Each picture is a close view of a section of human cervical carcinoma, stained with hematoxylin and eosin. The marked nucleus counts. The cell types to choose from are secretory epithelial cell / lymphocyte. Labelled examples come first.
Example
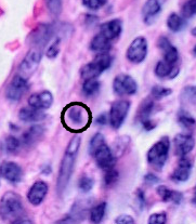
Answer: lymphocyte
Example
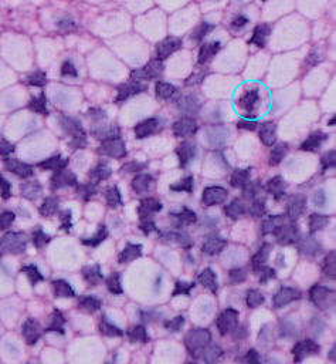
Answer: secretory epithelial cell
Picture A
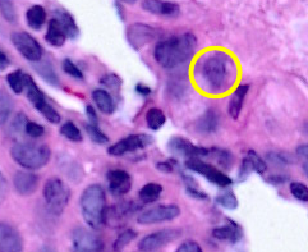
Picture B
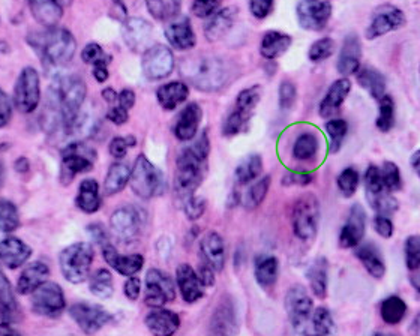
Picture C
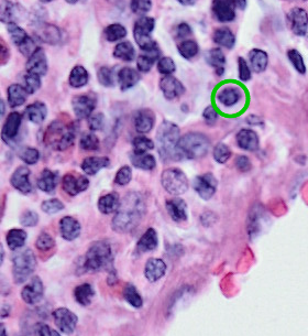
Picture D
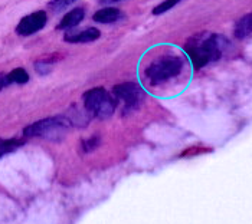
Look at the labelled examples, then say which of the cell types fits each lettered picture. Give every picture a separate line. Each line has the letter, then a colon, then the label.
A: secretory epithelial cell
B: lymphocyte
C: lymphocyte
D: secretory epithelial cell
